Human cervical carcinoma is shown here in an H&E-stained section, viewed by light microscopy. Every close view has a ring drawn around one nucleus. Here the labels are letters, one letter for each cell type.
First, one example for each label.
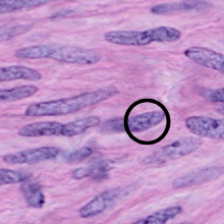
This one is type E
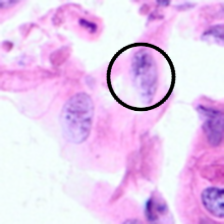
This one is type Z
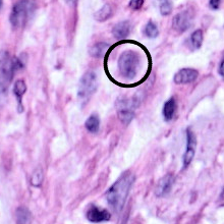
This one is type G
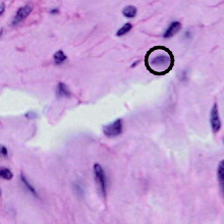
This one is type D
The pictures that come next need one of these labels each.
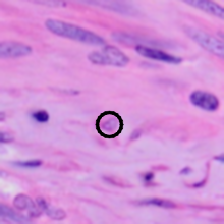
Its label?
type E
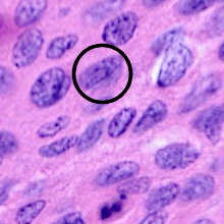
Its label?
type Z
